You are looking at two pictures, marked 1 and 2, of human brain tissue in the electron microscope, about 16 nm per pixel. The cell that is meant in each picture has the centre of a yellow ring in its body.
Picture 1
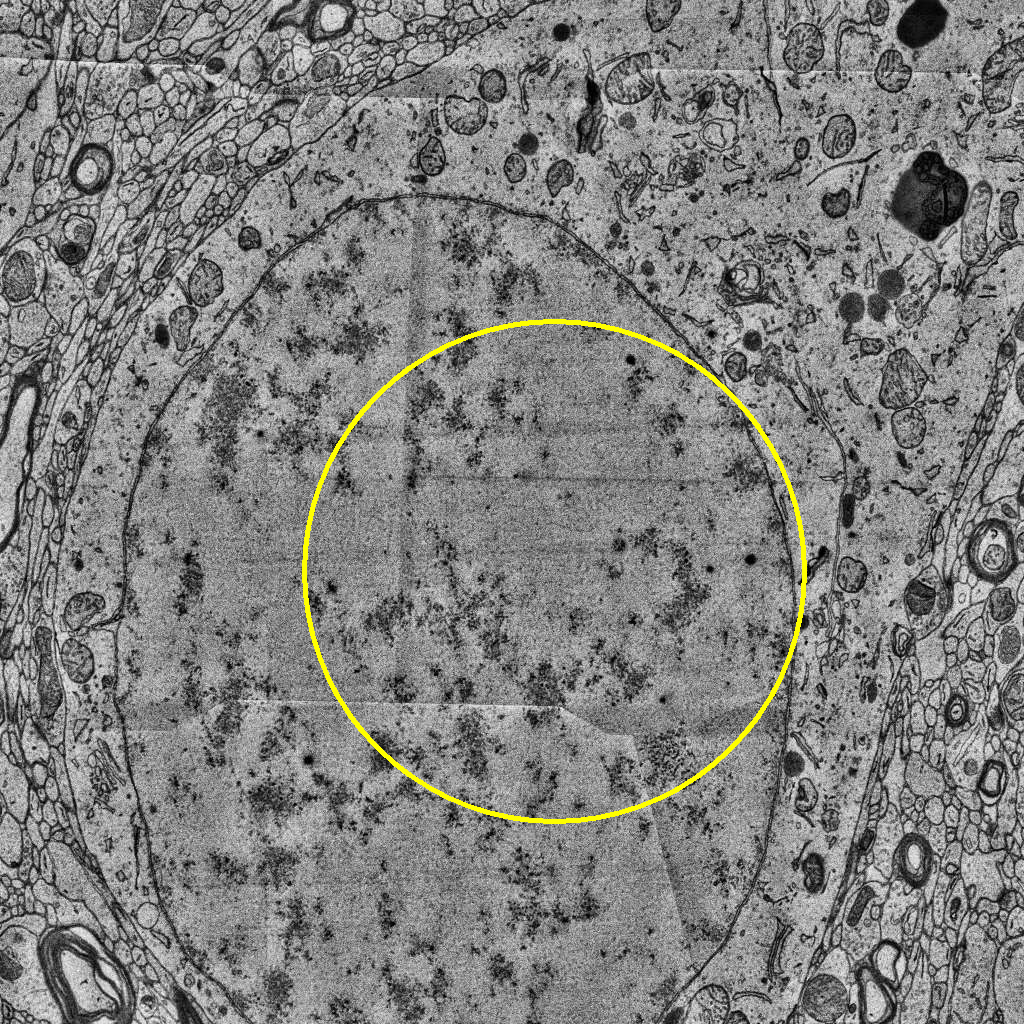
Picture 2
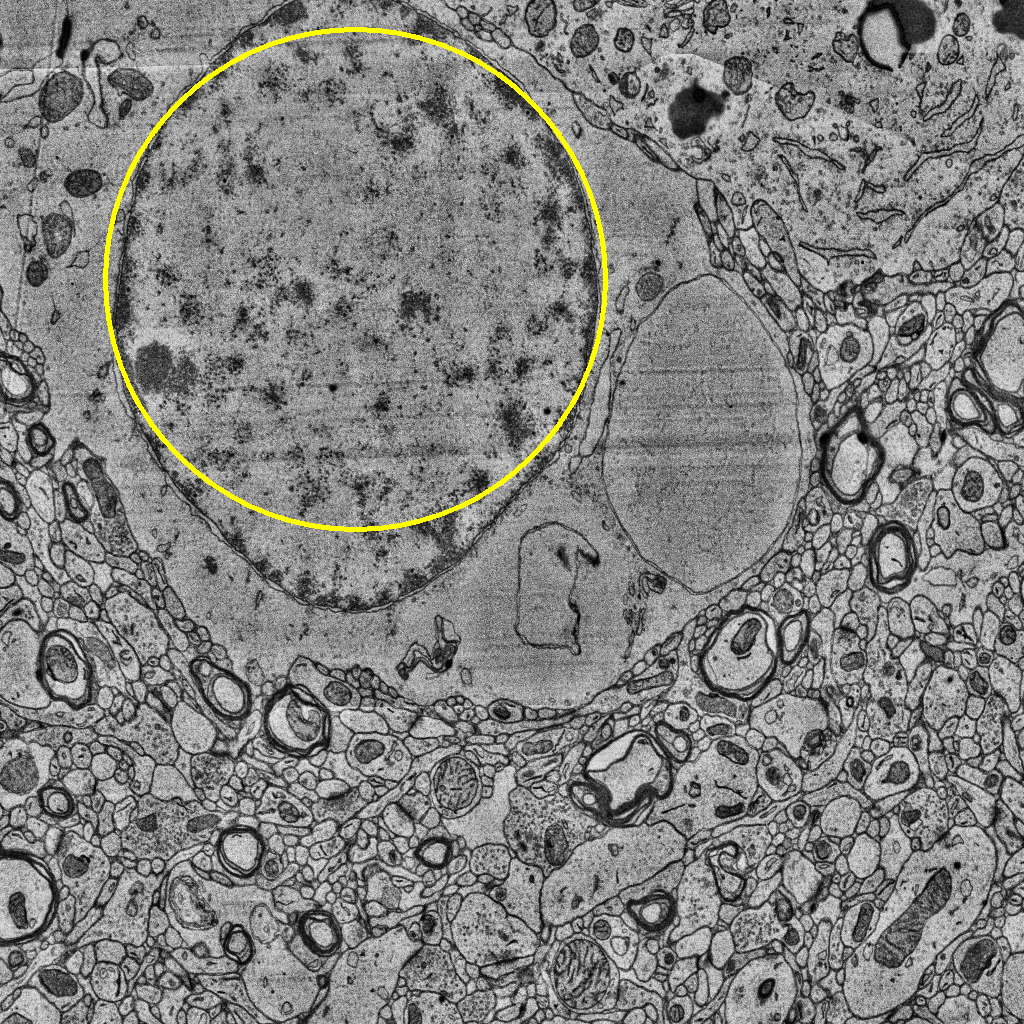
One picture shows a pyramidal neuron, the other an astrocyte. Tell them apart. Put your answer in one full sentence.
Picture 1 shows a pyramidal neuron and picture 2 shows an astrocyte.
